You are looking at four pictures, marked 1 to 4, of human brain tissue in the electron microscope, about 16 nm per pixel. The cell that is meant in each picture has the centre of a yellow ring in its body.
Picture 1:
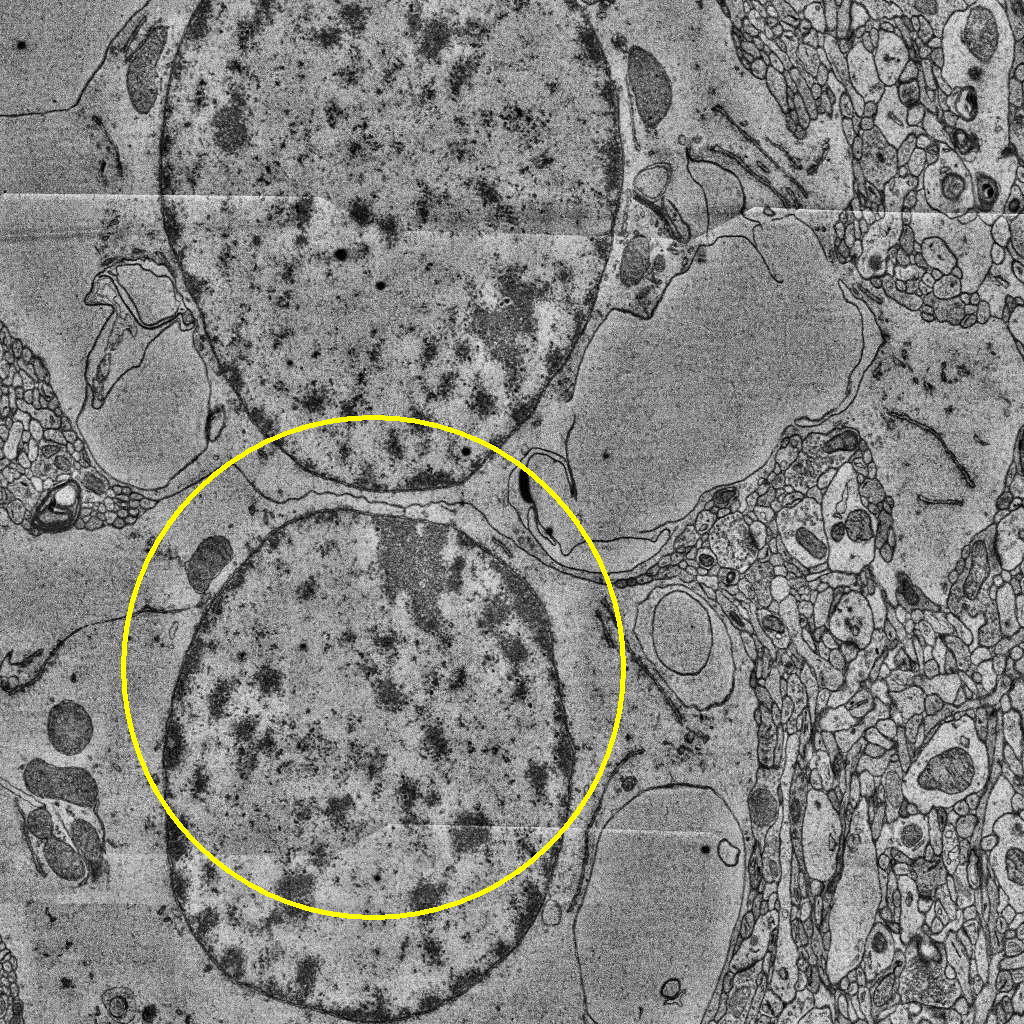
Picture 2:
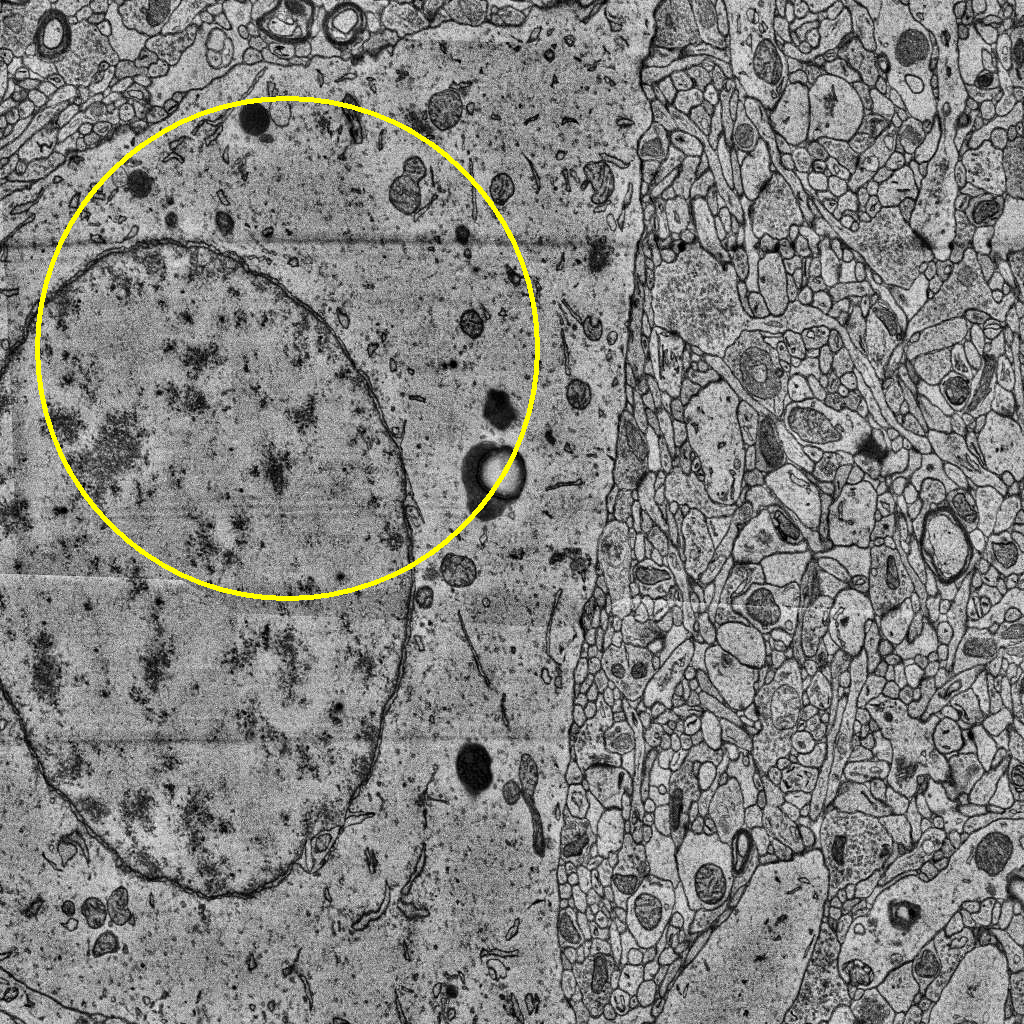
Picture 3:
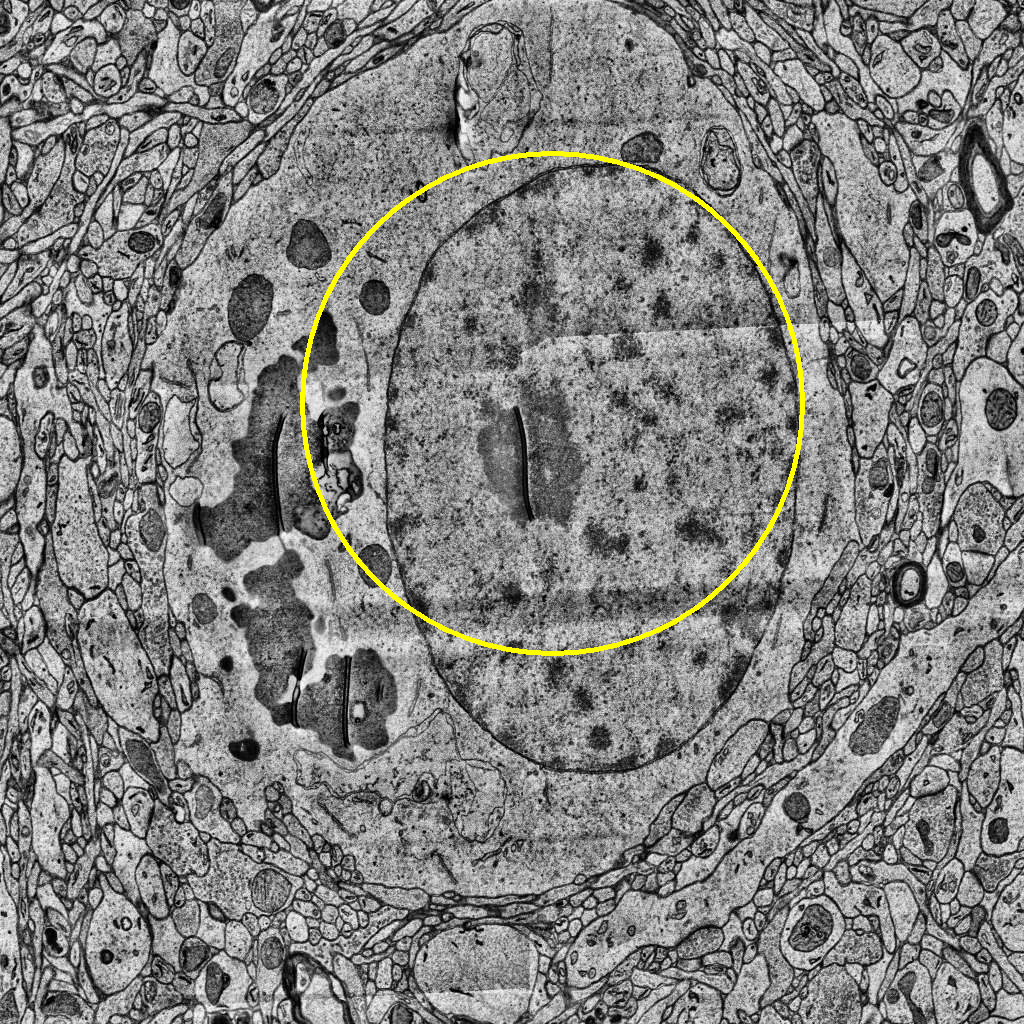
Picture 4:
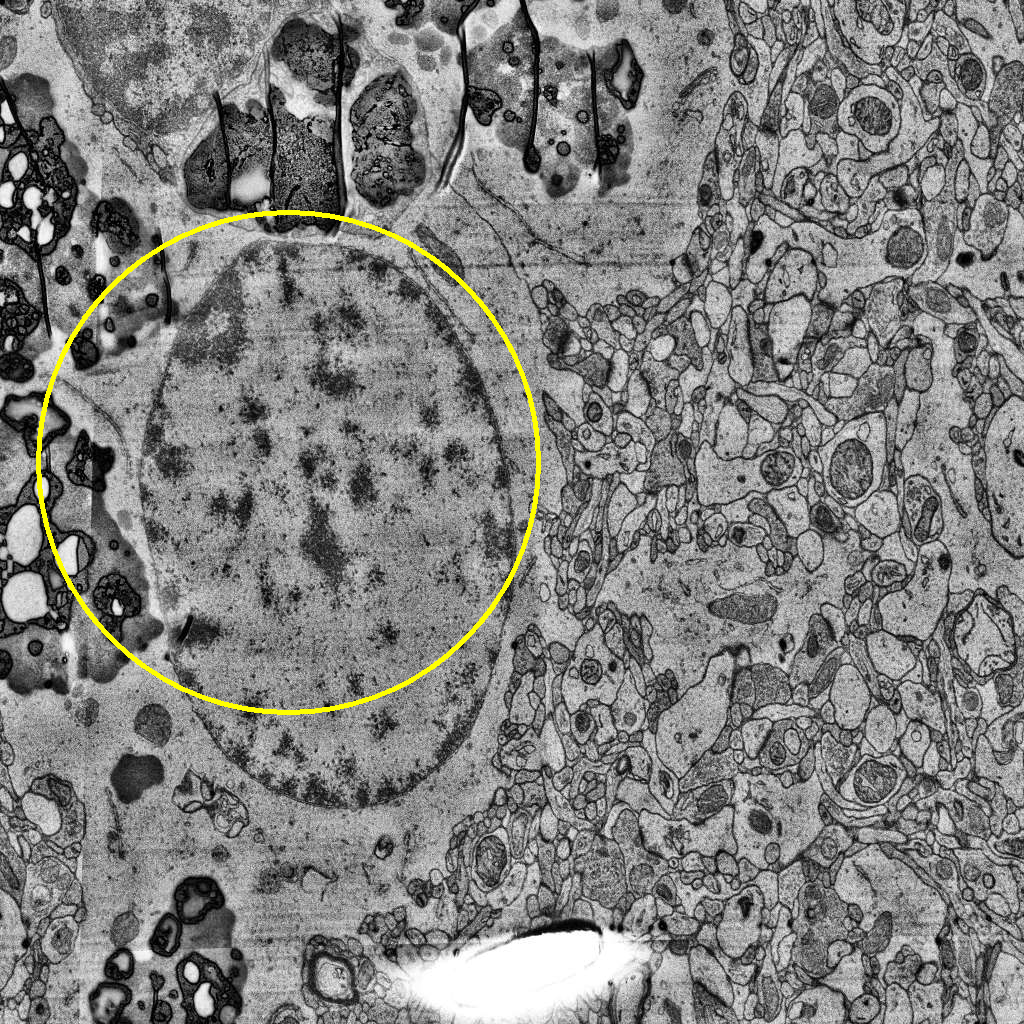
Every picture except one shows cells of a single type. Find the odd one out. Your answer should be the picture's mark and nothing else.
2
